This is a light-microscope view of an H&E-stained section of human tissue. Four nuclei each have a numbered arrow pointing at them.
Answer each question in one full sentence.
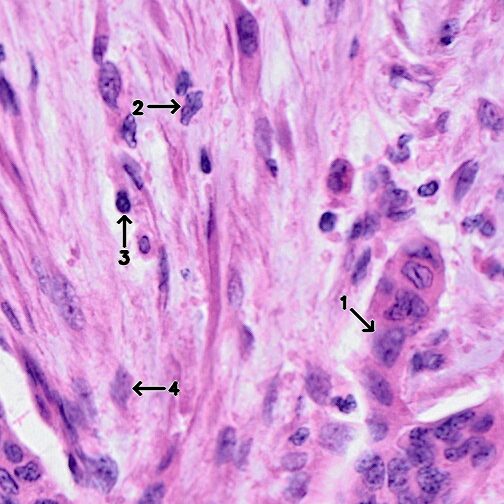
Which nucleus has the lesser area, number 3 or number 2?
It is nucleus 3; nucleus 2 has about 1.5 times its area.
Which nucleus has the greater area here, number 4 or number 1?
At about 2 times the area of nucleus 4, nucleus 1 is the larger of the two.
